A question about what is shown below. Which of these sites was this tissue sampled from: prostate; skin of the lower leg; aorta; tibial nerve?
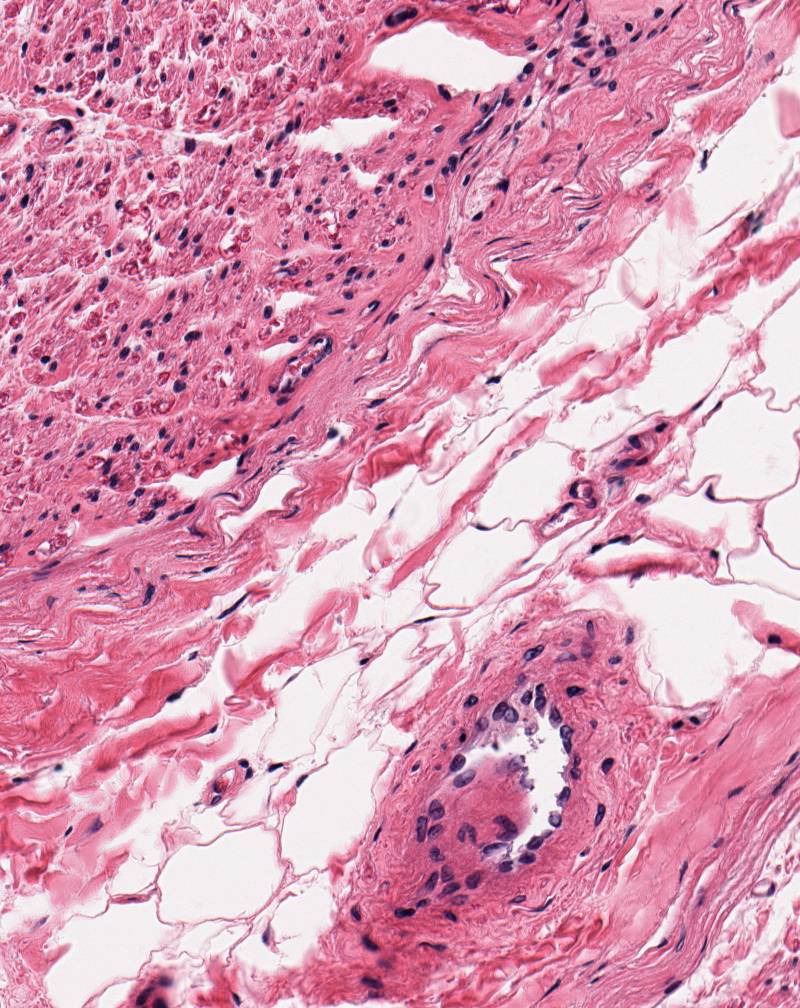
tibial nerve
